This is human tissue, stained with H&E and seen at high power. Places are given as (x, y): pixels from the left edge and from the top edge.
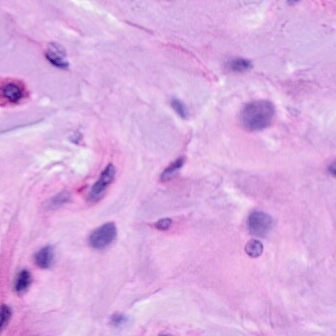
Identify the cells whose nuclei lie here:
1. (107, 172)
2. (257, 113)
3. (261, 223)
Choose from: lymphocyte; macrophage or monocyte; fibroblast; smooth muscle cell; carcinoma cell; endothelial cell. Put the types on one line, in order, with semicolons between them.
endothelial cell; fibroblast; fibroblast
